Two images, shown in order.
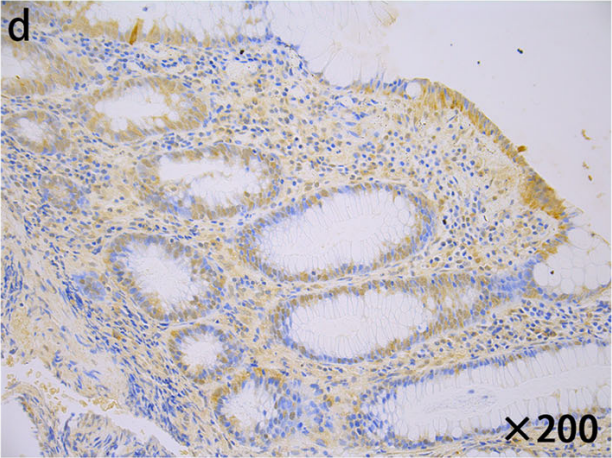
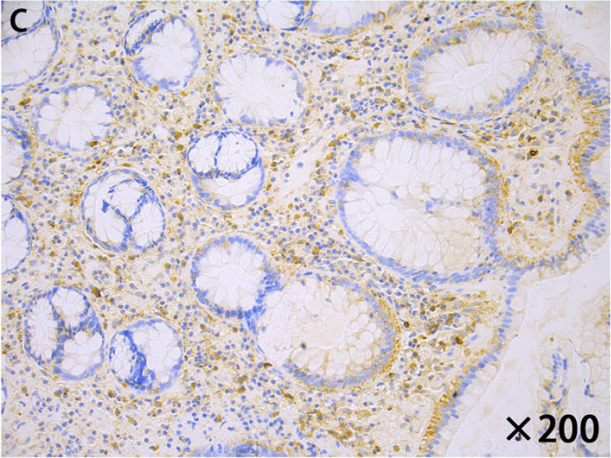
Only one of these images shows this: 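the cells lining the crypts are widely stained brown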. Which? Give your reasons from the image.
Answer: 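Second image: the gland linings are mostly blue, with brown mainly in cells between the glands.
Conclusion: the first image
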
